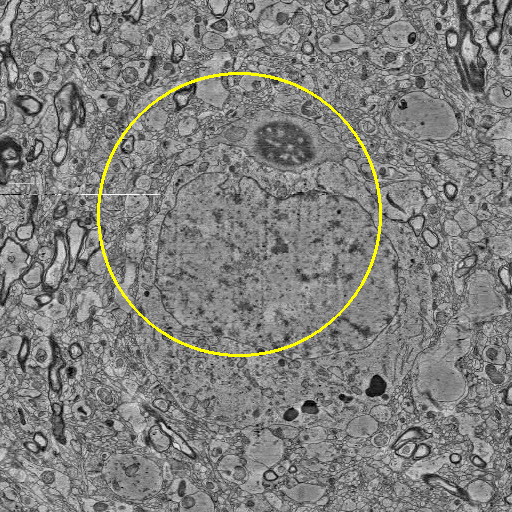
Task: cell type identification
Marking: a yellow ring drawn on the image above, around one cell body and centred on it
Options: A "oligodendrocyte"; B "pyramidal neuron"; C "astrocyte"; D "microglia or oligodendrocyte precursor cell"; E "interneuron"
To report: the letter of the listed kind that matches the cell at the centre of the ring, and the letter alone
B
